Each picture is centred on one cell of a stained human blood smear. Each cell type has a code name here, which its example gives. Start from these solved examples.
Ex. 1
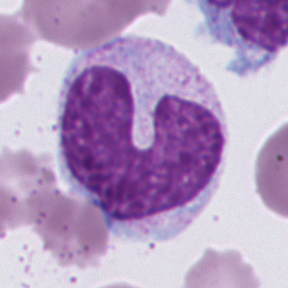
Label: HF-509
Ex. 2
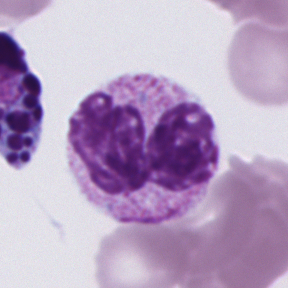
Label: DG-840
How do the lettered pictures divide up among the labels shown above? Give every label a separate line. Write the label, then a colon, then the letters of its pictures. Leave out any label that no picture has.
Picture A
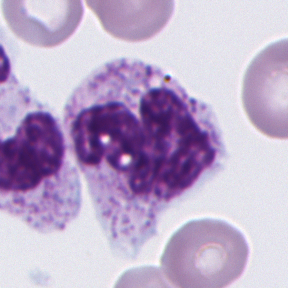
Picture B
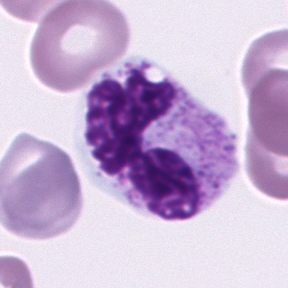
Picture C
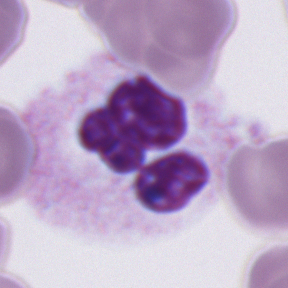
DG-840: A, B, C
